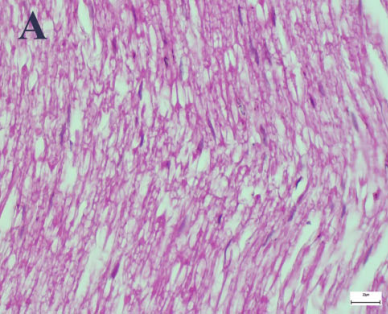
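This is a longitudinal section of peripheral nerve showing the normal architecture of closely packed nerve fibres. The fibres run in parallel, gently curving bands and stain pink, with a fine, netlike, foamy appearance of the myelin around them. Small, elongated, dark purple nuclei lie scattered between the fibres, oriented along their length. There are only small, narrow clear spaces between fibres, and no clusters of inflammatory cells or wide empty gaps are seen.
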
